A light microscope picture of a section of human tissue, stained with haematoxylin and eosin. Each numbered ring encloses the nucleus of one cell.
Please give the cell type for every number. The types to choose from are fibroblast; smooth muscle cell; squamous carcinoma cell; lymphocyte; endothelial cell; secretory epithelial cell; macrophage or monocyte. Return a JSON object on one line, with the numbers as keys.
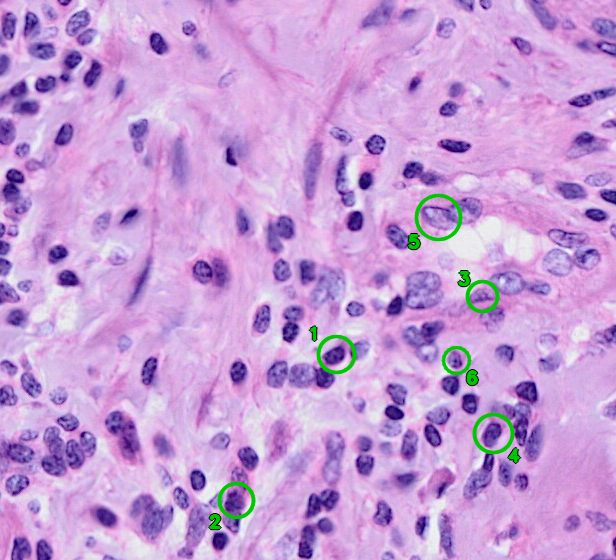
{"1": "lymphocyte", "2": "lymphocyte", "3": "endothelial cell", "4": "lymphocyte", "5": "endothelial cell", "6": "lymphocyte"}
